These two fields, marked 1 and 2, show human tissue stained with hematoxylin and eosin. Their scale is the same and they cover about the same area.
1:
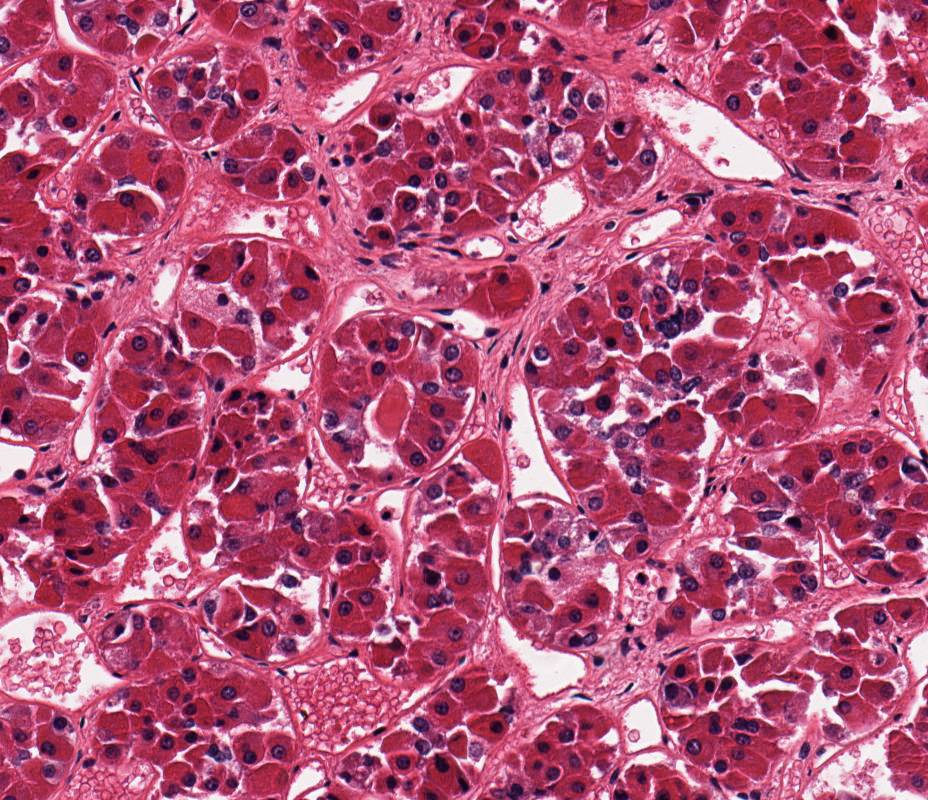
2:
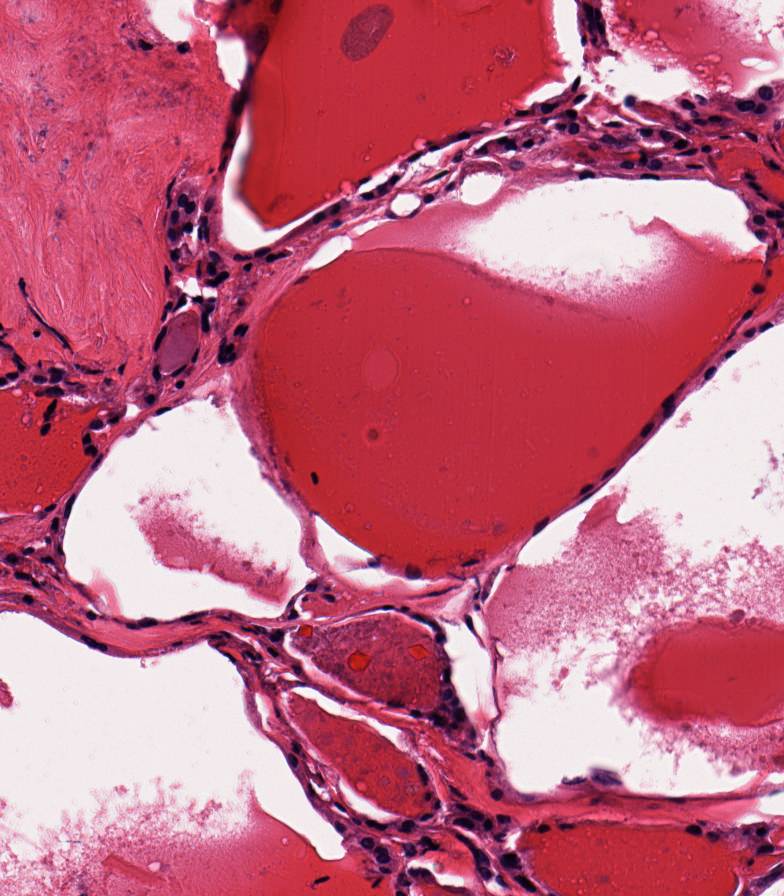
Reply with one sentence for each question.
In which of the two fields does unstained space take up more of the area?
More of picture 2 is empty and white.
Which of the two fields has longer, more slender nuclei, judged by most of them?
It is picture 2 whose nuclei are the more elongated.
